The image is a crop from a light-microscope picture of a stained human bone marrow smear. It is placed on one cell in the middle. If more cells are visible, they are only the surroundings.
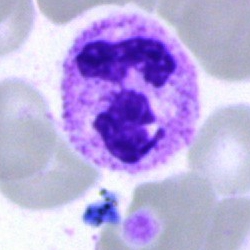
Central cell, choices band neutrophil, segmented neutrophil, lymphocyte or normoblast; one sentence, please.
The cell that lies at the centre of the crop is a segmented neutrophil.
